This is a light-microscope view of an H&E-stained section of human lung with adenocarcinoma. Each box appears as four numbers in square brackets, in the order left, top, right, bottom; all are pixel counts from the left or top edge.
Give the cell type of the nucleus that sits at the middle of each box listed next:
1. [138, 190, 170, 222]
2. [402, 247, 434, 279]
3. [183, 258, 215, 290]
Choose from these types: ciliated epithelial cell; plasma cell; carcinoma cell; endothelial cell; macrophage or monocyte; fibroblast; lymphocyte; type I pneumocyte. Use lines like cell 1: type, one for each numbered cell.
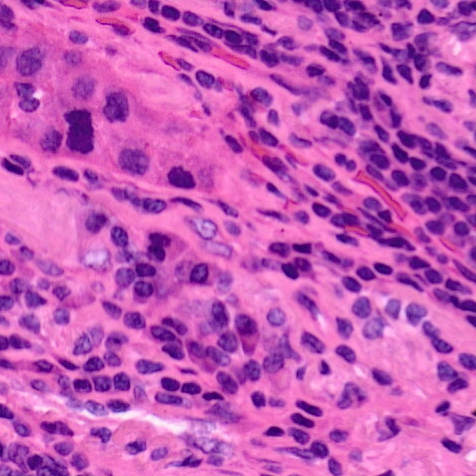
cell 1: lymphocyte
cell 2: lymphocyte
cell 3: plasma cell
